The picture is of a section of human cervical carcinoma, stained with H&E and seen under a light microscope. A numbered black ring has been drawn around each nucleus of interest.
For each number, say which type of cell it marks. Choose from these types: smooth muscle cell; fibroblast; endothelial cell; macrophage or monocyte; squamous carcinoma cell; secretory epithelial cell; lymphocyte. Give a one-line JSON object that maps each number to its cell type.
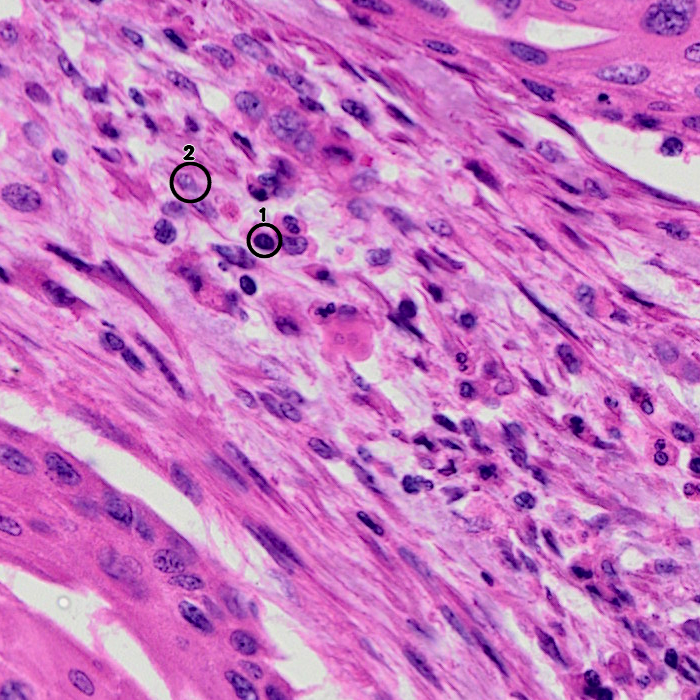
{"1": "lymphocyte", "2": "fibroblast"}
